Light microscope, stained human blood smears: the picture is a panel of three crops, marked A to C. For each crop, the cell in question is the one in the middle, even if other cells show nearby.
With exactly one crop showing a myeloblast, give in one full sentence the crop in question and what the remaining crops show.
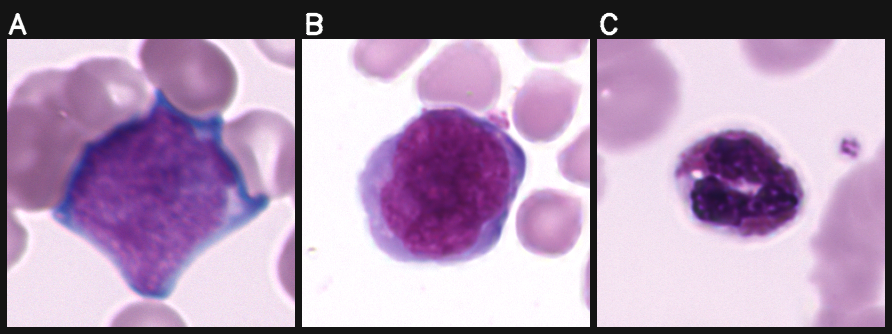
The central cell of crop A is identified as a myeloblast, while crop B is an atypical promyelocyte and crop C is an eosinophil.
